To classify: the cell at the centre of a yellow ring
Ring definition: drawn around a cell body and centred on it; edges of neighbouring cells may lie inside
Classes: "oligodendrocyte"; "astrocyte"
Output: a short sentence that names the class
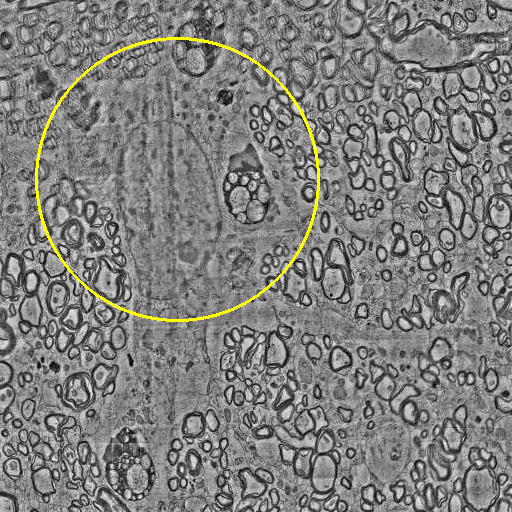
The ringed cell is an astrocyte.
